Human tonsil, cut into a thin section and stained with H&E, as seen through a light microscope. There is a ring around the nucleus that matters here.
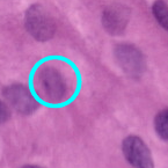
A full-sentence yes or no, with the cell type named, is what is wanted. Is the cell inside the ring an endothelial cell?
No, the cell inside the ring is termed a squamous epithelial cell, not an endothelial cell.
